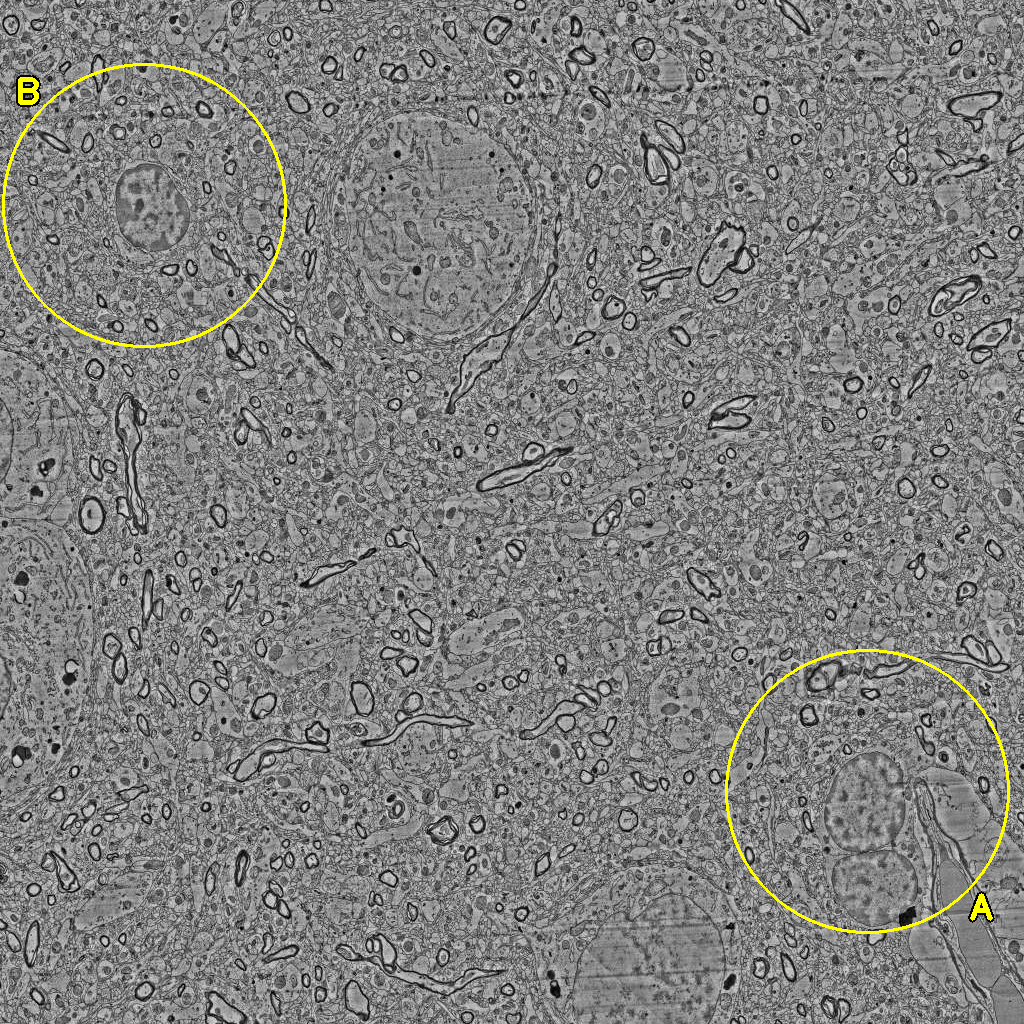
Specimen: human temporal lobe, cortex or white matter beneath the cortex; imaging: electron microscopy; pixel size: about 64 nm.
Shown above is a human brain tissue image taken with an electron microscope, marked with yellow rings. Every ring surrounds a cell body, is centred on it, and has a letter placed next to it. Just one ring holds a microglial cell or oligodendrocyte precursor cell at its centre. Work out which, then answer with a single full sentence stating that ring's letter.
Ring B is the one whose centre holds a cell of that kind.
